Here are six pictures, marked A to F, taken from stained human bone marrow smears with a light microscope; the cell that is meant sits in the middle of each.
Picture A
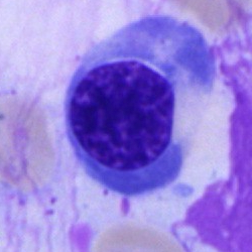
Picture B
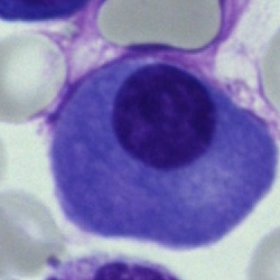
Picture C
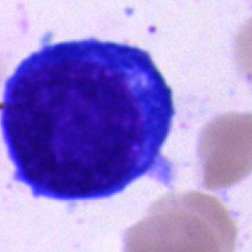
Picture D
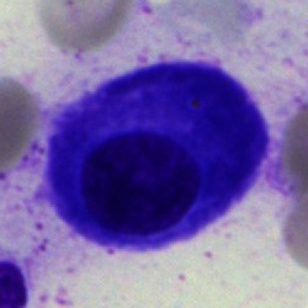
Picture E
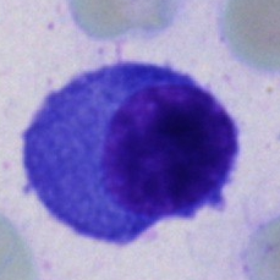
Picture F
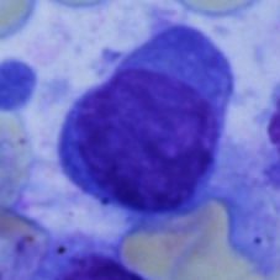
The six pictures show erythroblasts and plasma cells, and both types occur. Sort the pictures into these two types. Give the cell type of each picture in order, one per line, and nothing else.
erythroblast
plasma cell
erythroblast
plasma cell
plasma cell
plasma cell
